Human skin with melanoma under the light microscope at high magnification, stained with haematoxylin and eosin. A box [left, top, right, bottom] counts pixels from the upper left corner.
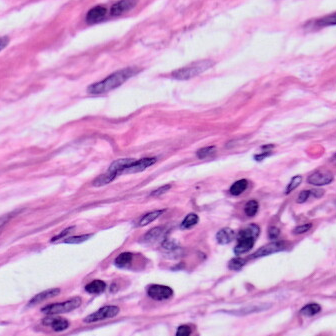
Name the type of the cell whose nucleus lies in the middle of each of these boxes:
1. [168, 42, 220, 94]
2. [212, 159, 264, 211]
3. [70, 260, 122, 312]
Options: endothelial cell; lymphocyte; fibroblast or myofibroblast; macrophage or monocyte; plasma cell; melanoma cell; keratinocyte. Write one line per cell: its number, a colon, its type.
1: fibroblast or myofibroblast
2: plasma cell
3: plasma cell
